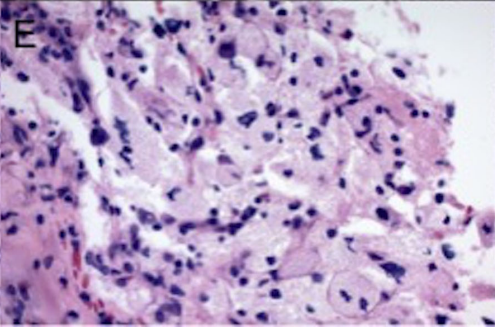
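Tumor tissue made of polygonal cells with abundant granular pink cytoplasm is seen at high magnification. The cells lie loosely in sheets, with angular borders between neighbours. Nuclei vary mildly in size and shape, and some are larger and more darkly stained than others. The cytoplasm has a fine grainy texture and stains pale to moderate pink. Small clear spaces and a few elongated, darker nuclei lie between the tumor cells, especially toward the left edge.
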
